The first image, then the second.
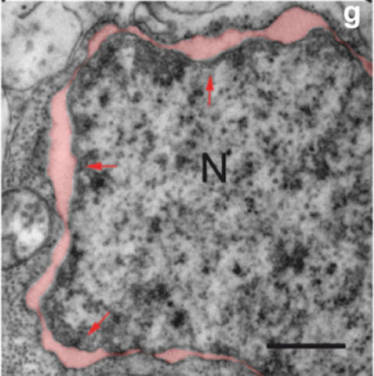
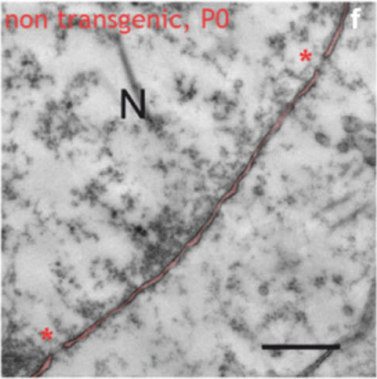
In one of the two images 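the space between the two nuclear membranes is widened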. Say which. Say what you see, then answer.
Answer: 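The first image. Second image: the nuclear envelope is a thin, even double line with a narrow red gap. First image: the red-shaded gap between the nuclear membranes is broad and irregular.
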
